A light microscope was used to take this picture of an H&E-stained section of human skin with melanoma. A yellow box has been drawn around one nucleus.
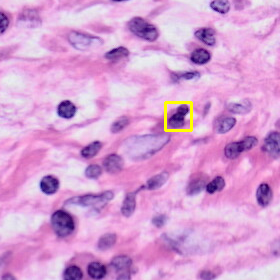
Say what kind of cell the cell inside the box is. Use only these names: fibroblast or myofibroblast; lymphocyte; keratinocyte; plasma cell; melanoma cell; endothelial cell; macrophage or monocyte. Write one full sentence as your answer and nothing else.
The expected answer is simply that the cell inside the box is a plasma cell.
